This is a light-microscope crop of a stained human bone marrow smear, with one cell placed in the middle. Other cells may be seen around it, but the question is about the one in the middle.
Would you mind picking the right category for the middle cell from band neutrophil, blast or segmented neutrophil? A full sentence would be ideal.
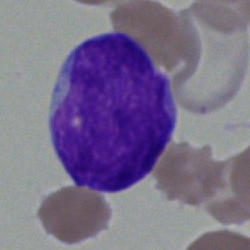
At the center of the crop sits a blast.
